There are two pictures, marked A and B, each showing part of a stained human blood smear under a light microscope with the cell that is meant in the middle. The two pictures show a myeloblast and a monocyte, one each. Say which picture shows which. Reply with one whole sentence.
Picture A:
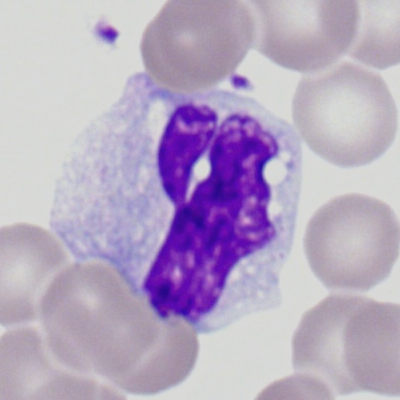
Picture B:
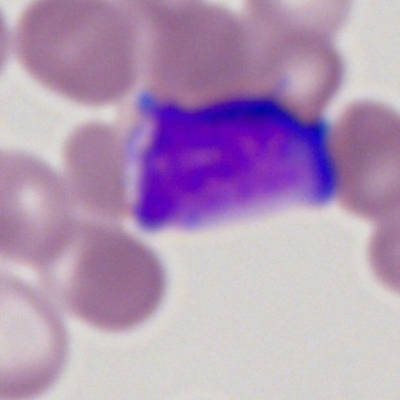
In picture A the cell is a monocyte; in picture B, a myeloblast.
